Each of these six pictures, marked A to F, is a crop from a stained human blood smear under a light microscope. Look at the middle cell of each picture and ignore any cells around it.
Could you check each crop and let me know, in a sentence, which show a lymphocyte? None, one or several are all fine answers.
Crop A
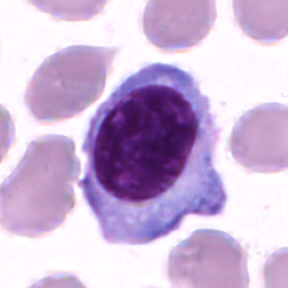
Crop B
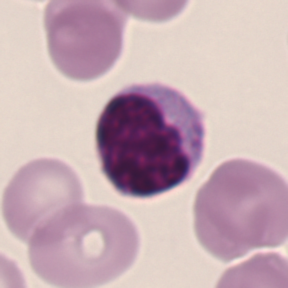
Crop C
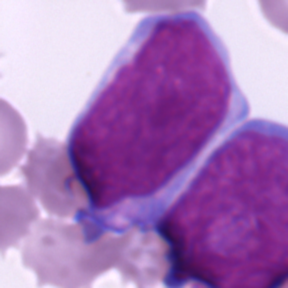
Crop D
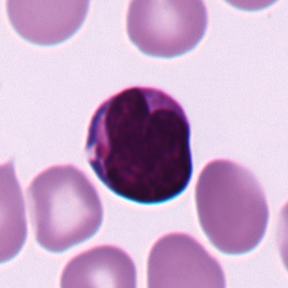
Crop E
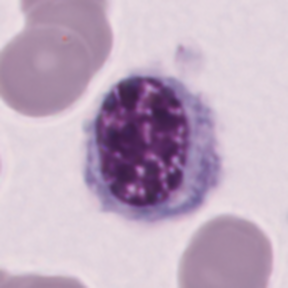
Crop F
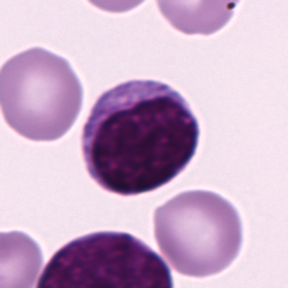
Depicted at the centre of crops B, D and F are lymphocytes.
